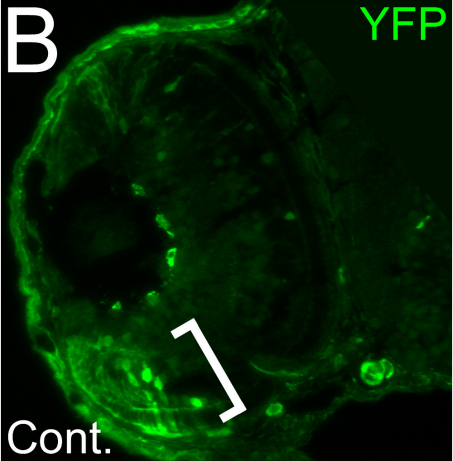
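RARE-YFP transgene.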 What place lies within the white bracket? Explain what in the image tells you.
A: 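The bracket spans the lower part of the eye.
Ventral retina.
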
